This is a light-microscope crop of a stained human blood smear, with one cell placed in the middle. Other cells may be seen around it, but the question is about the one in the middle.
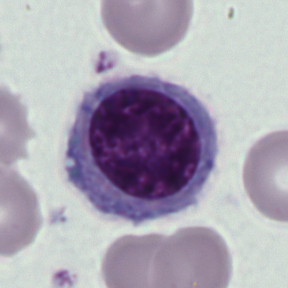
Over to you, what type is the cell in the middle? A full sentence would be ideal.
In the middle of this smear crop, the cell is a plasma cell.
